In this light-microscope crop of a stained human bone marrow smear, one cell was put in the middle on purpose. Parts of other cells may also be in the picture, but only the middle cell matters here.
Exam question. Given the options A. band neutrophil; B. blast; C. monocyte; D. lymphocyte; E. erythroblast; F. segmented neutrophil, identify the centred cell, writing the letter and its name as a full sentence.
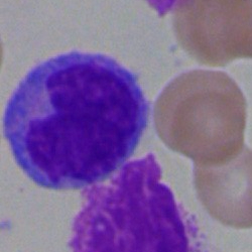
In the centre of the crop there is a monocyte, making option C correct.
